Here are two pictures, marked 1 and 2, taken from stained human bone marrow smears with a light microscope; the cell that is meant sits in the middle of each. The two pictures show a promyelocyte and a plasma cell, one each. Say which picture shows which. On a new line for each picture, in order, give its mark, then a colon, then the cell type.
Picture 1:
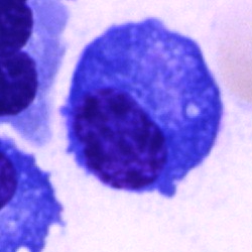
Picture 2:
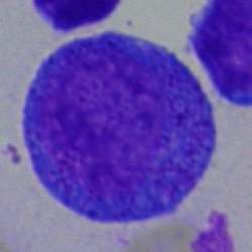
1: plasma cell
2: promyelocyte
